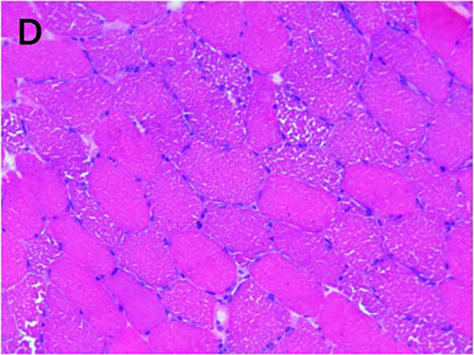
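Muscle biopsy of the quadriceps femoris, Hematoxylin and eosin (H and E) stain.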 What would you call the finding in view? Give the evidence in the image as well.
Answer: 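Vacuoles. Many pink fibers contain numerous small clear holes. The clear spaces are scattered through the fiber cytoplasm. Nuclei sit at the fiber edges.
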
